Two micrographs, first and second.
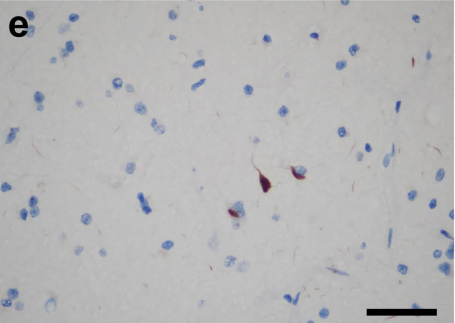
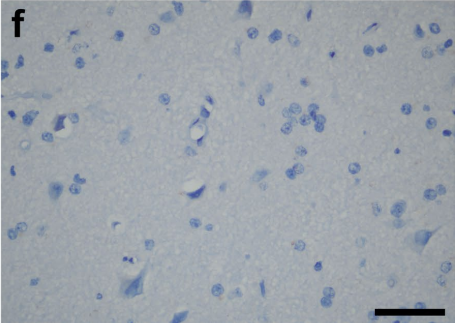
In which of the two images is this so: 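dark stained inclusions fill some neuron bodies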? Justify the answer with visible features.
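Second image: only blue nuclei in a pale background, no dark stained inclusions.
The first image.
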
